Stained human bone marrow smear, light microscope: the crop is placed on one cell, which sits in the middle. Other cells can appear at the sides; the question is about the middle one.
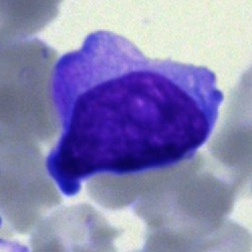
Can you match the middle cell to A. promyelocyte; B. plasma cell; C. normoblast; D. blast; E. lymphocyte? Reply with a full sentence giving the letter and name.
That the central cell is a blast makes option D correct.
